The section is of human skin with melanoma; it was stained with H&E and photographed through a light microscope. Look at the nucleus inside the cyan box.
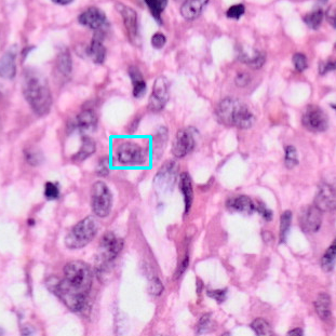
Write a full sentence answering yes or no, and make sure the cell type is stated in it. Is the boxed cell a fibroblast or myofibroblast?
No, the boxed cell counts as a melanoma cell, not a fibroblast or myofibroblast.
